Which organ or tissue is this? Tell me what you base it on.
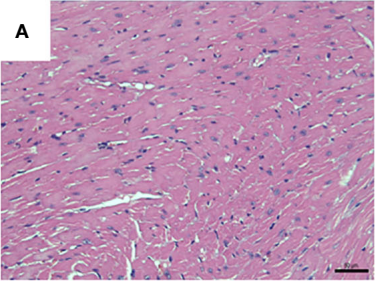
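Pink, elongated, branching muscle fibres run in parallel. Oval nuclei lie centrally within the fibres.
Hence: heart.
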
